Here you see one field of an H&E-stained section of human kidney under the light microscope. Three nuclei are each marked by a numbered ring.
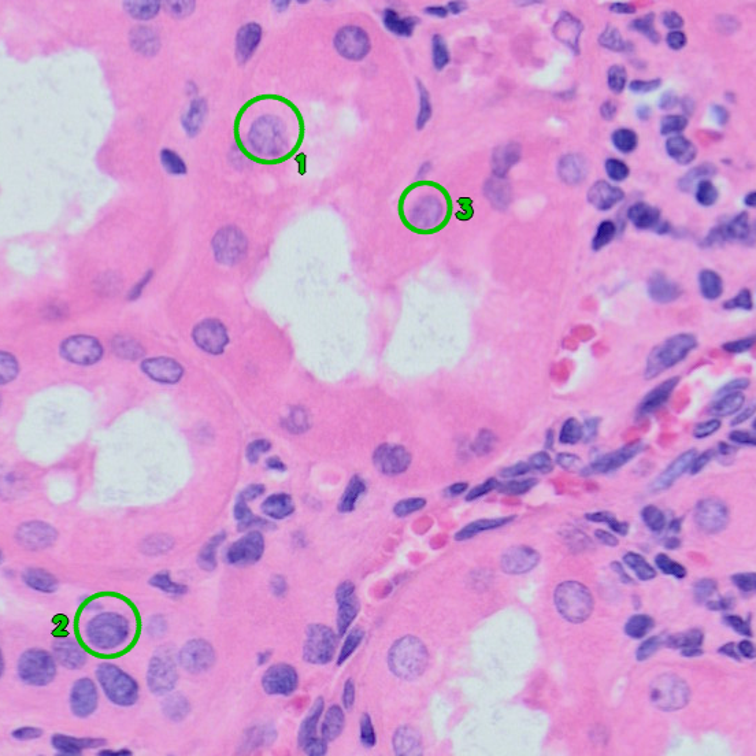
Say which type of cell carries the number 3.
proximal tubule cell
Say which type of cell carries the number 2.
collecting duct cell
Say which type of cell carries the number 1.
proximal tubule cell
